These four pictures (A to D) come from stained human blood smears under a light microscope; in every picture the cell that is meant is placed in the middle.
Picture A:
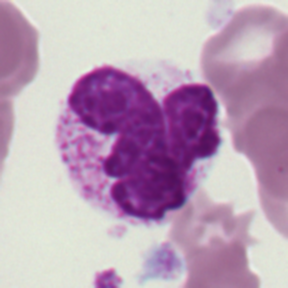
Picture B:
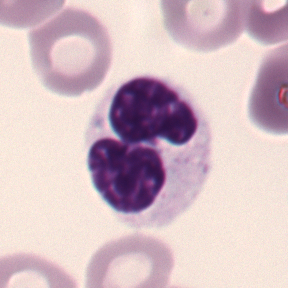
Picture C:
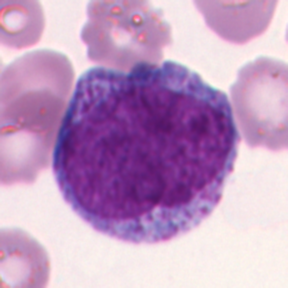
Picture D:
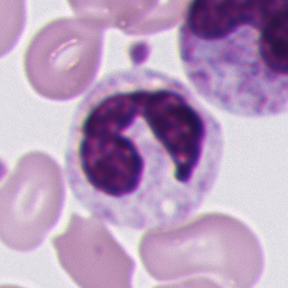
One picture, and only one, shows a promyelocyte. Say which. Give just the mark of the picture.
C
